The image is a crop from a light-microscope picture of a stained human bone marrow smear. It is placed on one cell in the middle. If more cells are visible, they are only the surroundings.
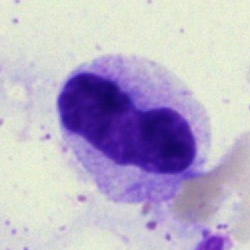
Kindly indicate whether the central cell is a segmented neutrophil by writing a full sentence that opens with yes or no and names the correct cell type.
No, not a segmented neutrophil but a band neutrophil is the cell in the centre.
